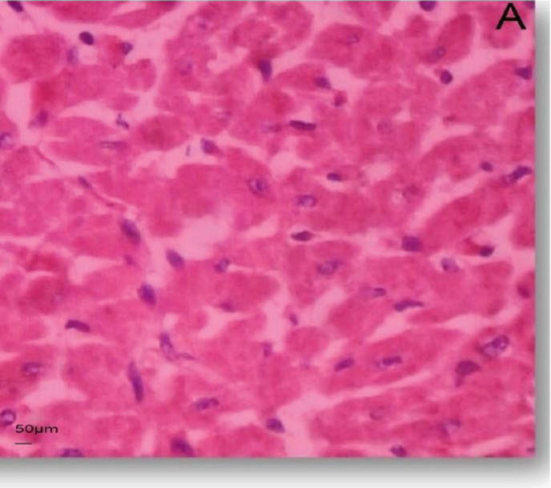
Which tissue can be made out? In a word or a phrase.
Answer: Cardiac muscle.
